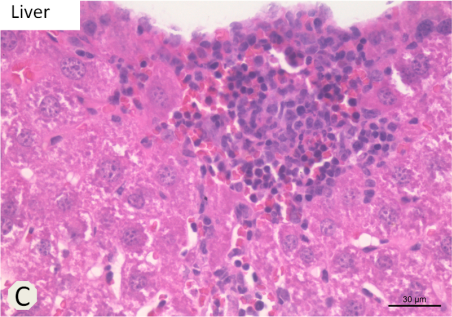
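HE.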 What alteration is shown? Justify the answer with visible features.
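A dense wedge of small dark-nucleated cells lies just beneath the liver surface. The cluster pushes in among pink hepatocytes. That points to this answer: mononuclear inflammatory infiltrate.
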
